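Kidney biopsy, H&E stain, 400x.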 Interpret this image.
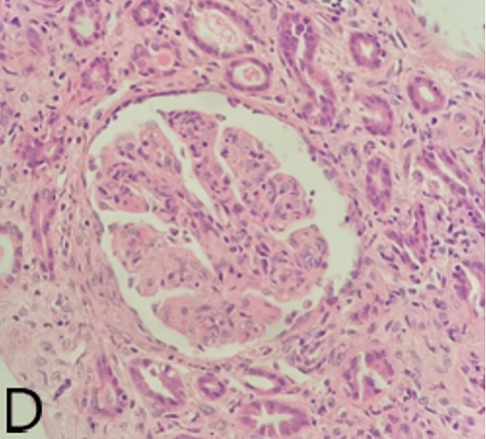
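A glomerulus sits in the center, its tuft split into lobules and separated from the capsule by a clear Bowman's space. The lobules are packed with nuclei, so the capillary loops are hardly open, which is endocapillary hypercellularity. Around it lie cross-sections of tubules lined by cuboidal epithelium with pink cytoplasm, set in interstitium.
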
